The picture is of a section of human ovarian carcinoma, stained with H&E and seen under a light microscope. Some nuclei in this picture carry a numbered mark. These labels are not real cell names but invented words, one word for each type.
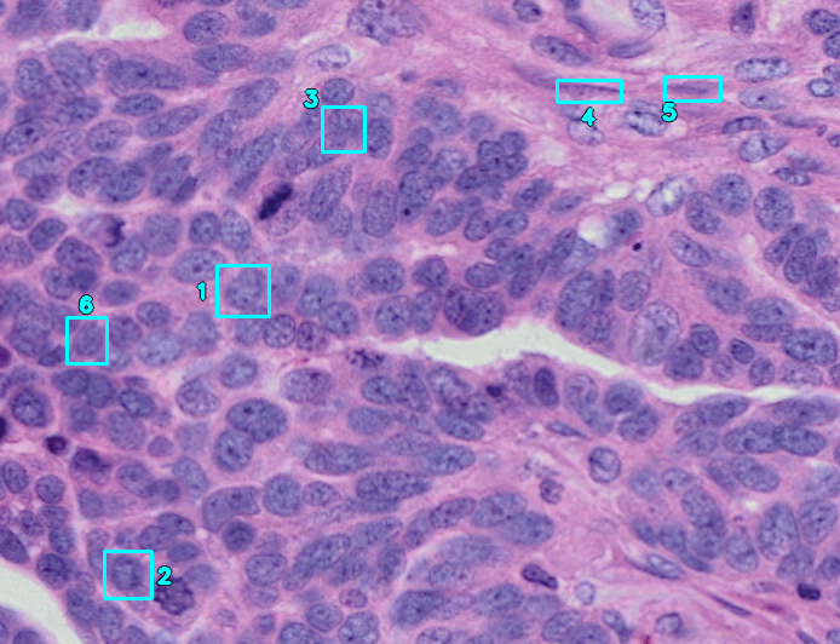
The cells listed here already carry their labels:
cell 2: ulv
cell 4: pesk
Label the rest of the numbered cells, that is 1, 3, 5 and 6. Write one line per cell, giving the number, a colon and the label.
1: ulv
3: ulv
5: pesk
6: ulv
